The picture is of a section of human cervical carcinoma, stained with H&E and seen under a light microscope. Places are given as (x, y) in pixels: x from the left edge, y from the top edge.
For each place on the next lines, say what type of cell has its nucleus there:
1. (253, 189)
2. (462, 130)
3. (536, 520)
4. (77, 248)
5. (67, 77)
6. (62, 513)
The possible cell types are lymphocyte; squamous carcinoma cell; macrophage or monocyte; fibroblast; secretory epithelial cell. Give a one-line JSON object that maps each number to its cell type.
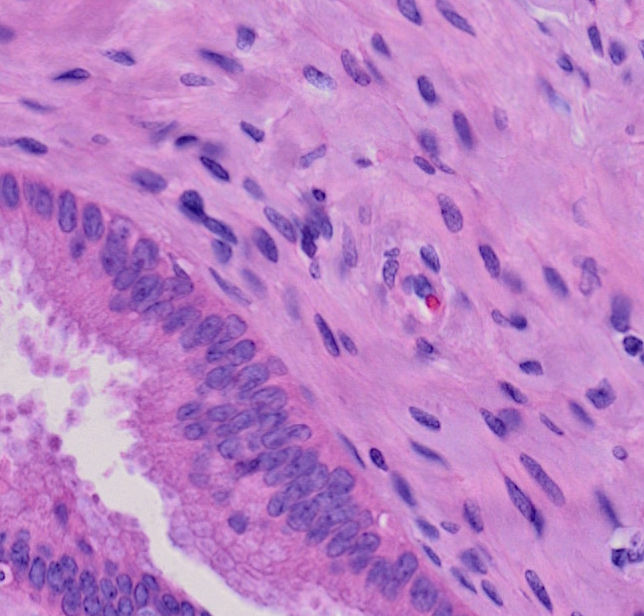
{"1": "fibroblast", "2": "fibroblast", "3": "fibroblast", "4": "secretory epithelial cell", "5": "fibroblast", "6": "secretory epithelial cell"}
